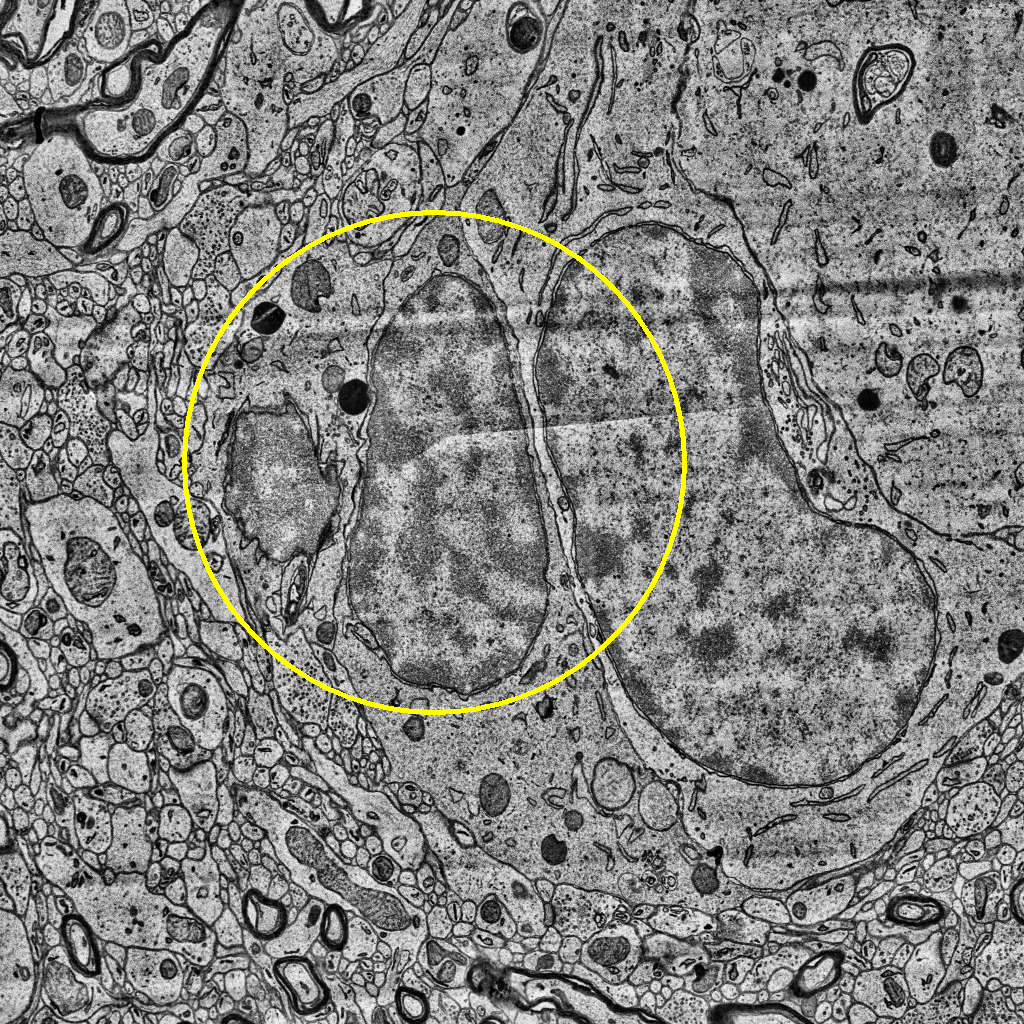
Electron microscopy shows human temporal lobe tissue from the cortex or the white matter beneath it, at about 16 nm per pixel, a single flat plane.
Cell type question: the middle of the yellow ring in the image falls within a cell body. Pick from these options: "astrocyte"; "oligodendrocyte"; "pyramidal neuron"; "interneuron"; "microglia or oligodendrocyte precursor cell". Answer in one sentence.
The cell body at the center of the ring belongs to an oligodendrocyte.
